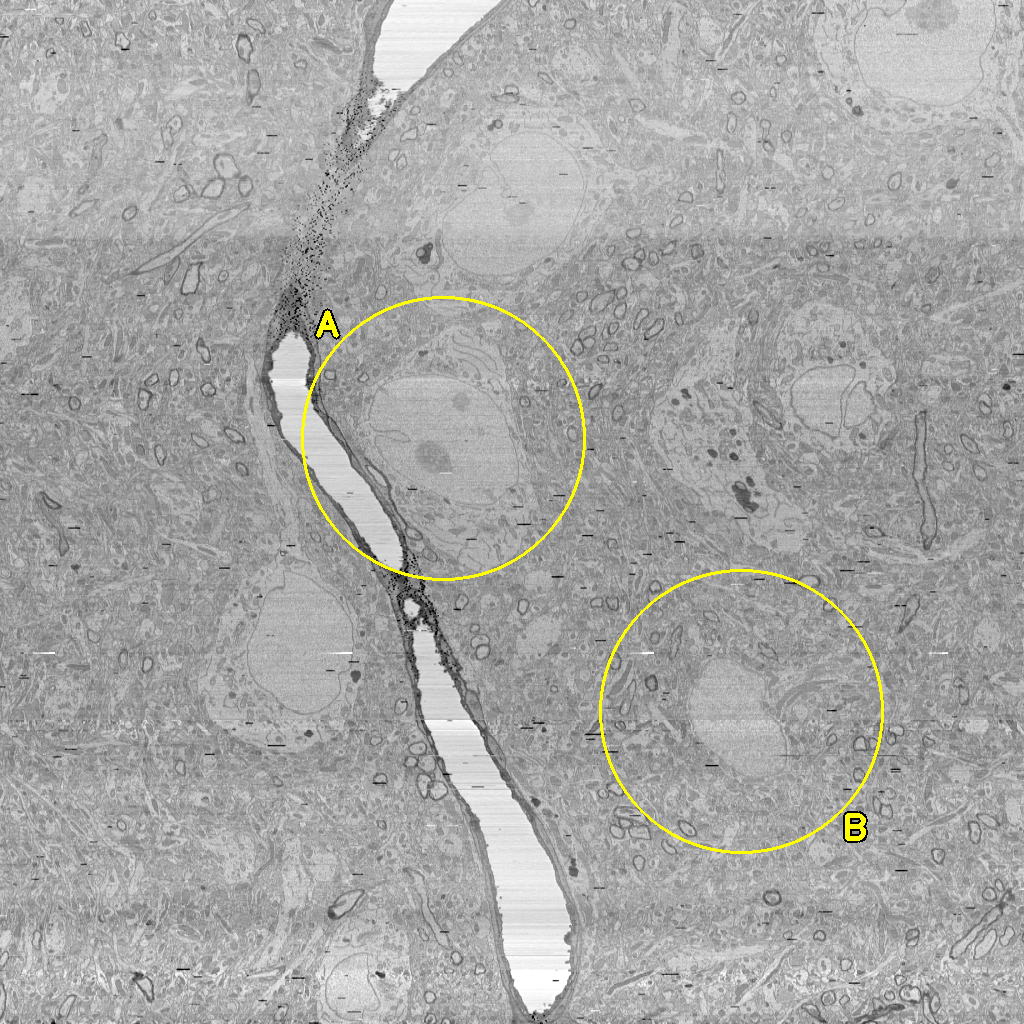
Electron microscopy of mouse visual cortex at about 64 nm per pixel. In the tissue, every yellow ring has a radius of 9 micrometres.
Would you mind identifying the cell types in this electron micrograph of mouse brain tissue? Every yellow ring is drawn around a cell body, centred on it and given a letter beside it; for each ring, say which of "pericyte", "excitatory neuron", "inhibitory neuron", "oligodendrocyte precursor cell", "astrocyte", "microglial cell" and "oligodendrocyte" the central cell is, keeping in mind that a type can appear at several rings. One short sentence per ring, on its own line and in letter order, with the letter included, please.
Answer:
At the centre of ring A lies an excitatory neuron.
At the centre of ring B lies an astrocyte.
